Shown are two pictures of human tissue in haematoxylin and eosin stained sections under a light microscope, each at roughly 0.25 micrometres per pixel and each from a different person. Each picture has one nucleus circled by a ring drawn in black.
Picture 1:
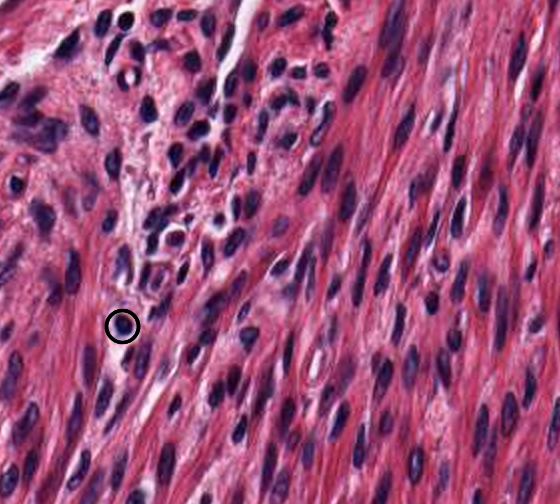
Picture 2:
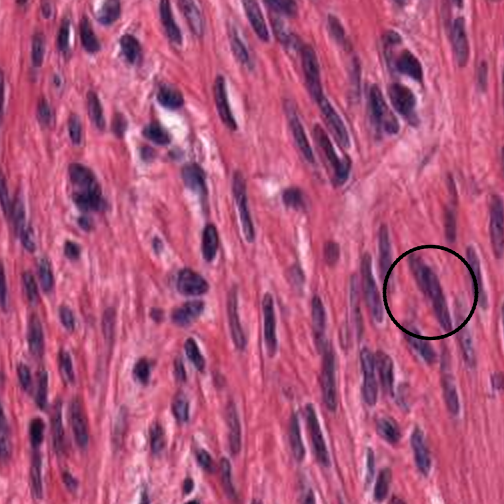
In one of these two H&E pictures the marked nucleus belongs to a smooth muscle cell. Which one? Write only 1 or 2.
2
